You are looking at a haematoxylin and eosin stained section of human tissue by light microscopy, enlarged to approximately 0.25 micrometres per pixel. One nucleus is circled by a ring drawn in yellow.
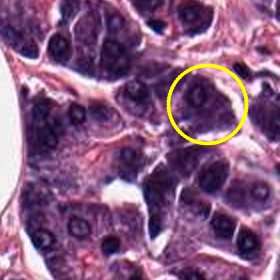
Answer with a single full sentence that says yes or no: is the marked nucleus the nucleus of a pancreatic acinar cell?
Yes, the marked nucleus belongs to a pancreatic acinar cell in this field.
